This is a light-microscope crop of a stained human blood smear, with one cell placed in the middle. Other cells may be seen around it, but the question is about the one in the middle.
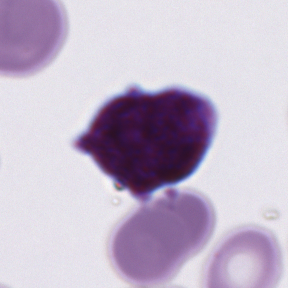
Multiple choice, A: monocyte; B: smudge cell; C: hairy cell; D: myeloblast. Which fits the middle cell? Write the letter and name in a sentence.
The one cell at the centre is a myeloblast, as correctly stated in option D.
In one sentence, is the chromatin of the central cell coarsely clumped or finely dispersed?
If you check the nucleus, you will find the chromatin coarsely clumped.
